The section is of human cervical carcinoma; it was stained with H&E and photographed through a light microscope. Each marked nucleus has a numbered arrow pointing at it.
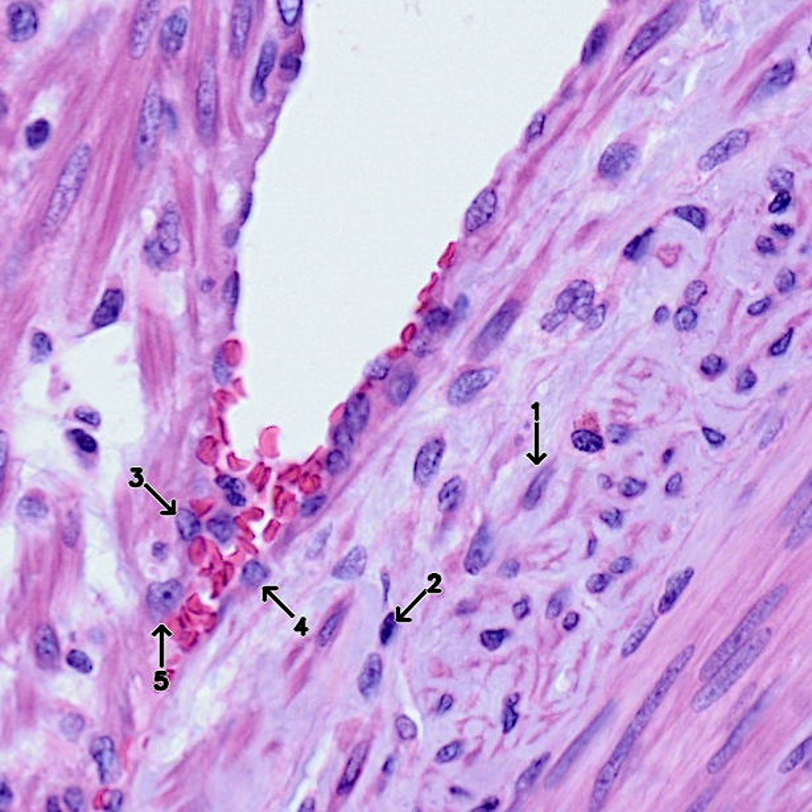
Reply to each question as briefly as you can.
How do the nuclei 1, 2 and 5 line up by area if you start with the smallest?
2, 1, 5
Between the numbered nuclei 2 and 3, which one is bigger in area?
3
